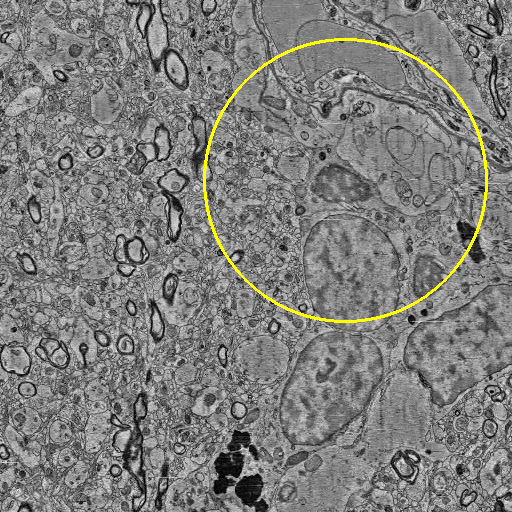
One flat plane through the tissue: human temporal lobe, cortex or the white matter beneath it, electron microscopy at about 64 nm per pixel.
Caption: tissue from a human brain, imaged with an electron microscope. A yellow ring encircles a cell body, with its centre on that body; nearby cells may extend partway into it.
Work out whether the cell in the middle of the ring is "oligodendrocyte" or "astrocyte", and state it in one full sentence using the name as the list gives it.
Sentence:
In the picture, the cell that the yellow ring surrounds at its centre is an oligodendrocyte.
